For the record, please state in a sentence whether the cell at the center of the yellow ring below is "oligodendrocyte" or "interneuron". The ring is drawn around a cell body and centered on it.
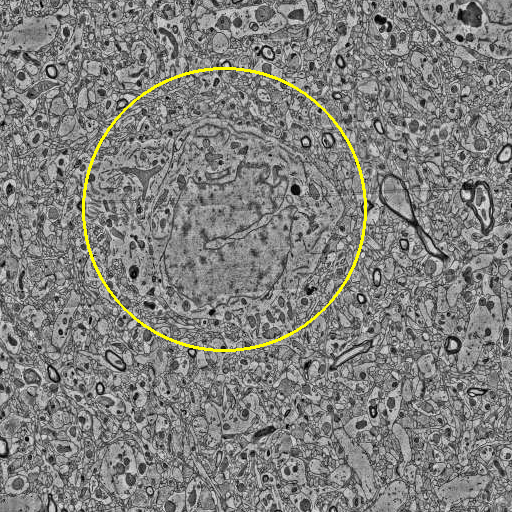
The cell at the ring's center is an interneuron.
